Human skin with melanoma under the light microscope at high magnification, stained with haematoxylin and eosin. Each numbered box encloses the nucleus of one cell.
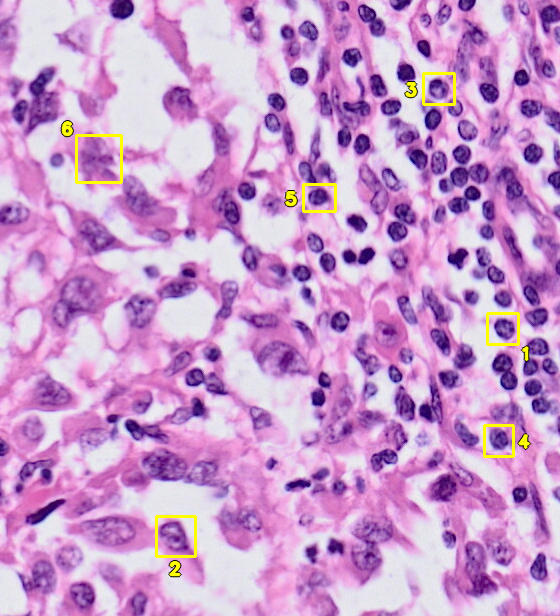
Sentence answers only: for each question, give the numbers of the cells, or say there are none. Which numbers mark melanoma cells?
The cells numbered 2 and 6 are typed as melanoma cells.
